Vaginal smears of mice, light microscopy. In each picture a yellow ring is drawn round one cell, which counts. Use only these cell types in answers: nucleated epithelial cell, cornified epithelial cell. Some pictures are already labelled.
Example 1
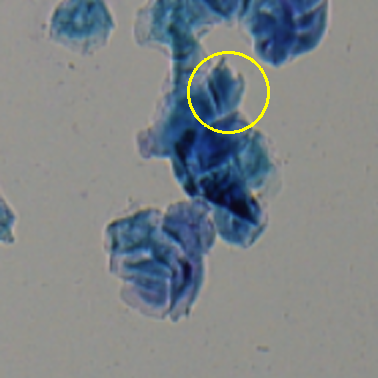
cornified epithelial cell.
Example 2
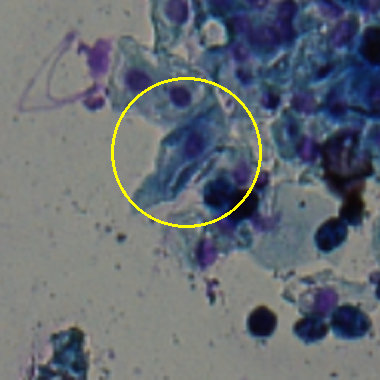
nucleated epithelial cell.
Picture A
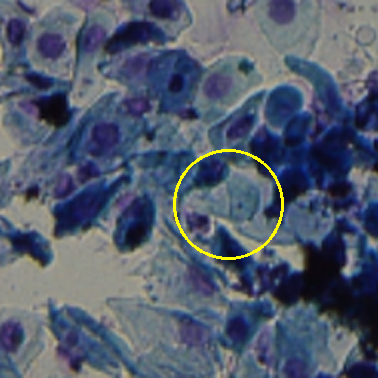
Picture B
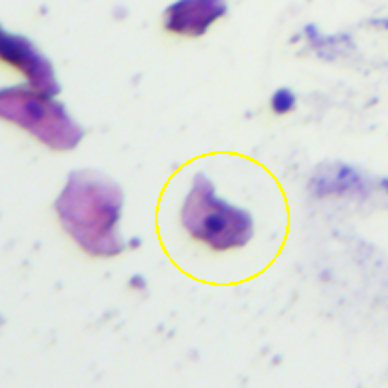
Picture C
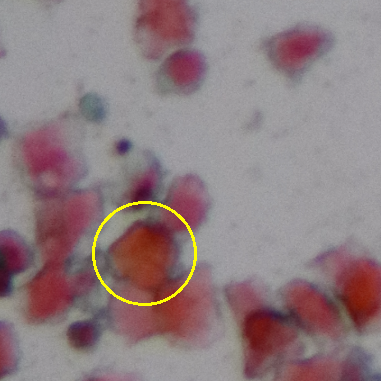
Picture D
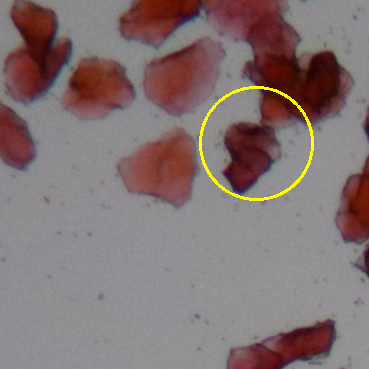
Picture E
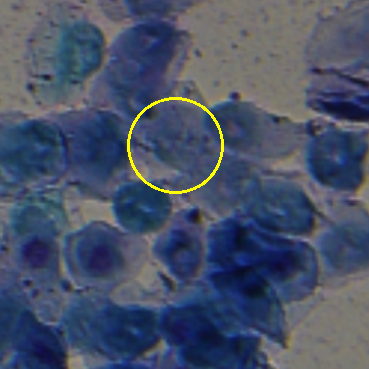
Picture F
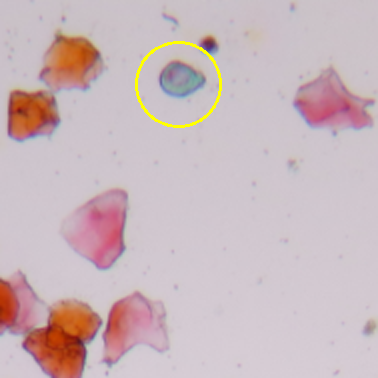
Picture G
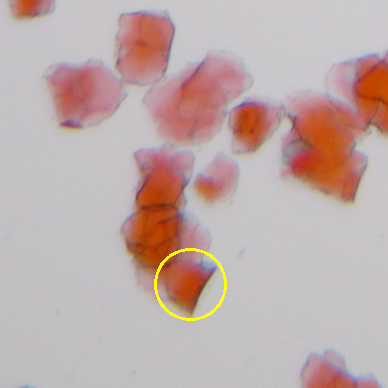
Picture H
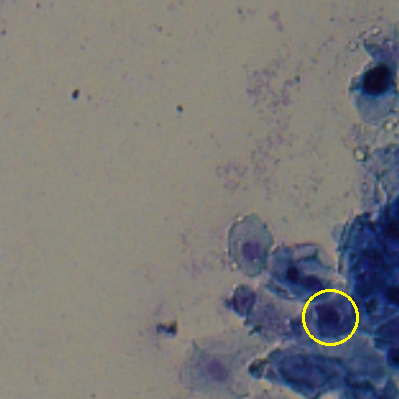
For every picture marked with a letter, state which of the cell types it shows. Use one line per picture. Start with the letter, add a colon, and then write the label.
A: cornified epithelial cell.
B: nucleated epithelial cell.
C: cornified epithelial cell.
D: cornified epithelial cell.
E: cornified epithelial cell.
F: nucleated epithelial cell.
G: cornified epithelial cell.
H: nucleated epithelial cell.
